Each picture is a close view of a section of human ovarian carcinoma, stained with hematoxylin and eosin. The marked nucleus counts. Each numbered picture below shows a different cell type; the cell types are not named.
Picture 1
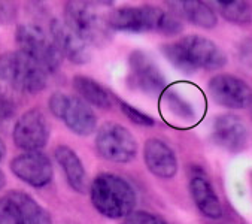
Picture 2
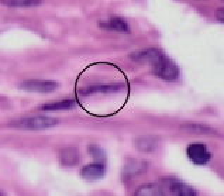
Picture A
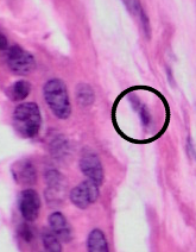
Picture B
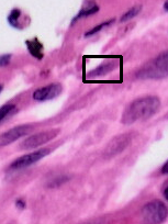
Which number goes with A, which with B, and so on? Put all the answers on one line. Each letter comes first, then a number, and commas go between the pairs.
A 2, B 2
